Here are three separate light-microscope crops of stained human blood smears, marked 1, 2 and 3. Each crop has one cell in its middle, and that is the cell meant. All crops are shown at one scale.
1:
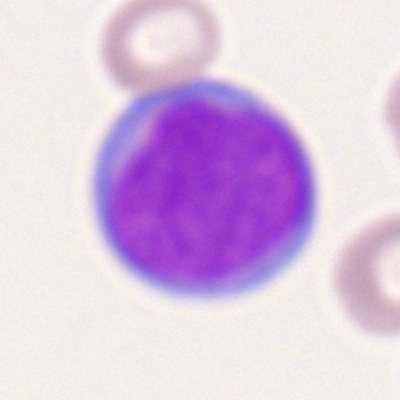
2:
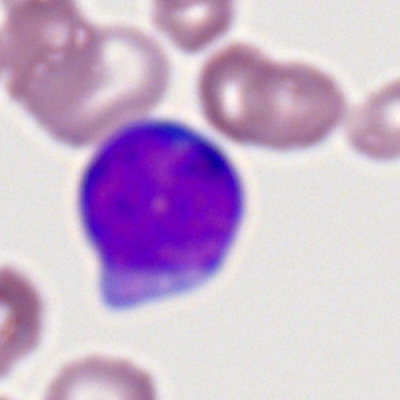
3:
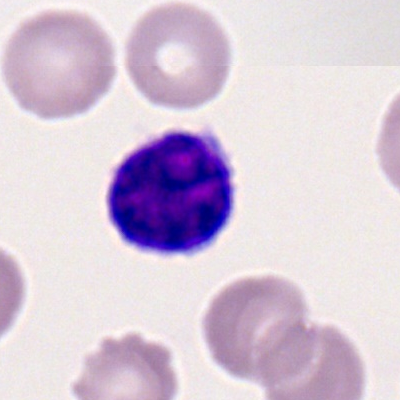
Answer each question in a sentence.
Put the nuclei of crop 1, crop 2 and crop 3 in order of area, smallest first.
Going up, they run 3, 2, 1.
